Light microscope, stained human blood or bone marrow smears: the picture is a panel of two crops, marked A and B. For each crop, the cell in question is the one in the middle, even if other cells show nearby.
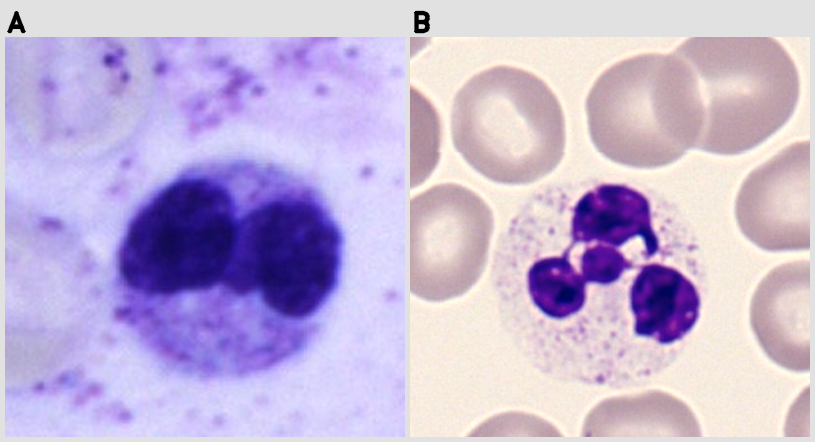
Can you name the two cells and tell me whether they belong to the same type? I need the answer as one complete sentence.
Yes, the cells under consideration in both crops are segmented neutrophils.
